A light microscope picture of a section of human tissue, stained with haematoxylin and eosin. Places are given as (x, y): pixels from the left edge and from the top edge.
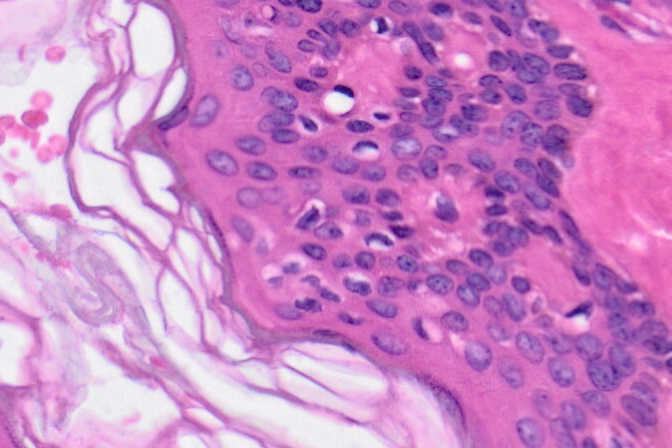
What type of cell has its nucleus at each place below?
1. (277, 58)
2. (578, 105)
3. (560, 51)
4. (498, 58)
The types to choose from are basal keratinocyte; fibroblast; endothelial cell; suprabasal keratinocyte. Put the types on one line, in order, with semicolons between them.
suprabasal keratinocyte; basal keratinocyte; basal keratinocyte; basal keratinocyte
